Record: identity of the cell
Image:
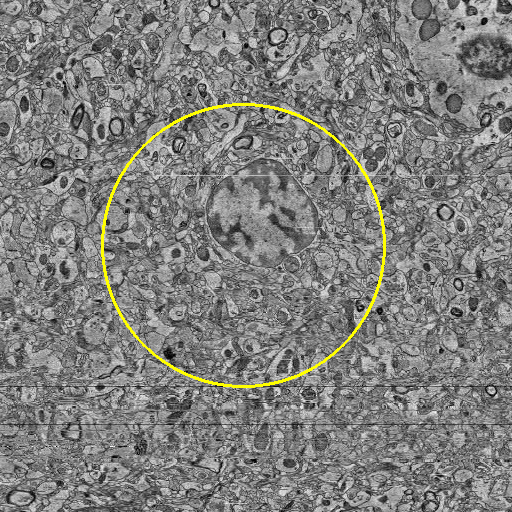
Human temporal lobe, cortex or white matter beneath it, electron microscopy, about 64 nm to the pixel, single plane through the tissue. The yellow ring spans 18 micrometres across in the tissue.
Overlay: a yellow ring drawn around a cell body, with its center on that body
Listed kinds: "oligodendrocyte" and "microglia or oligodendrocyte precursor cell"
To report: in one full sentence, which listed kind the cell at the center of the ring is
In the image, the cell body at the ring's center belongs to a microglial cell or oligodendrocyte precursor cell.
